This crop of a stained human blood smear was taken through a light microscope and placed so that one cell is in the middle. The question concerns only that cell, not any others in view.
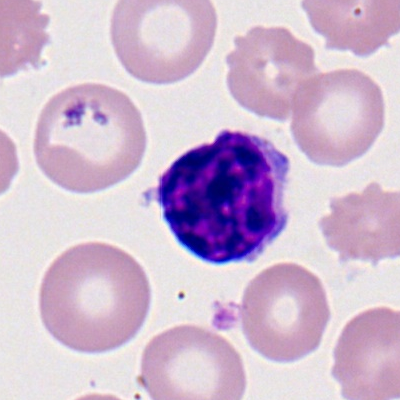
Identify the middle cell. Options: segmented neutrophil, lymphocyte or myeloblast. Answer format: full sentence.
The cell in the middle of the field of view is a lymphocyte.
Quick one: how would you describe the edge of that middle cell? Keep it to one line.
Because its outline is ragged or drawn out into projections, the cell lacks a smooth border.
